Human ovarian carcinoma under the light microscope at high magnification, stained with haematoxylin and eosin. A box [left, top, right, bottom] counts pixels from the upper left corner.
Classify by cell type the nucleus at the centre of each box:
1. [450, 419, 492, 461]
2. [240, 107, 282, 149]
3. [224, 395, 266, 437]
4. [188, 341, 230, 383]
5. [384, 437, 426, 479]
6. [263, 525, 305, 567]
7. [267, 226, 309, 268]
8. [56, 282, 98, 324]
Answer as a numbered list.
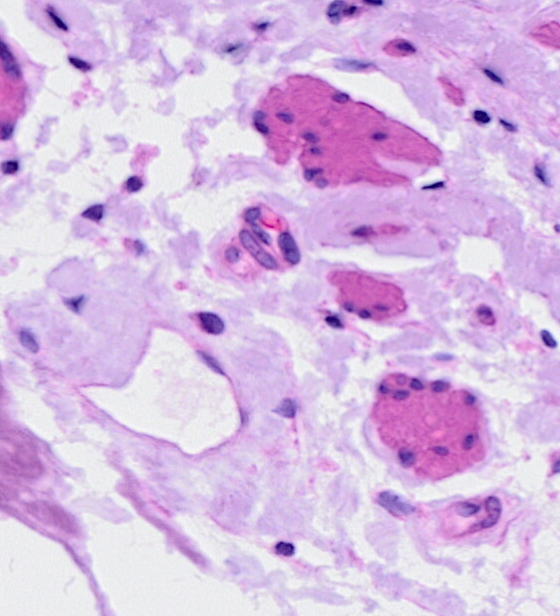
1. smooth muscle cell
2. smooth muscle cell
3. endothelial cell
4. endothelial cell
5. smooth muscle cell
6. lymphocyte
7. endothelial cell
8. fibroblast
